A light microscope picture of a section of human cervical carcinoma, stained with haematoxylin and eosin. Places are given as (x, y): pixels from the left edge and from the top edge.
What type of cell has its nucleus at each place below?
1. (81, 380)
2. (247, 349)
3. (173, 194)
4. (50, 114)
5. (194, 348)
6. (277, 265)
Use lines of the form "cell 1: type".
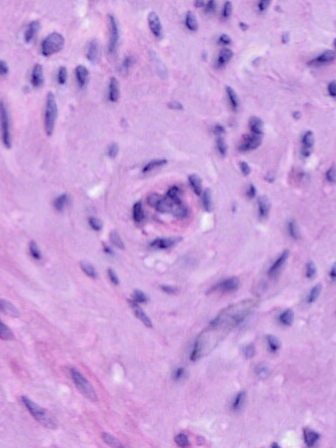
cell 1: smooth muscle cell
cell 2: fibroblast
cell 3: endothelial cell
cell 4: fibroblast
cell 5: fibroblast
cell 6: fibroblast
